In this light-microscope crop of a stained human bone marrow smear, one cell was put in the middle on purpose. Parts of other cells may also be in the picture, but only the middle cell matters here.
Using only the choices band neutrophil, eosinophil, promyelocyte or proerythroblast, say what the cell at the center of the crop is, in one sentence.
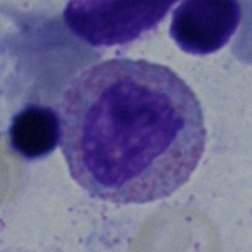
By type, the central cell of the crop is an eosinophil.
